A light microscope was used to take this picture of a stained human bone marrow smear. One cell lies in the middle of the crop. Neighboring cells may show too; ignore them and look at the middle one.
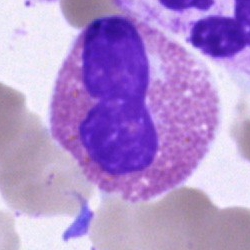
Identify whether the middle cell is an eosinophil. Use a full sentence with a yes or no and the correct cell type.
Yes, it is an eosinophil that is seen at the centre of the crop.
